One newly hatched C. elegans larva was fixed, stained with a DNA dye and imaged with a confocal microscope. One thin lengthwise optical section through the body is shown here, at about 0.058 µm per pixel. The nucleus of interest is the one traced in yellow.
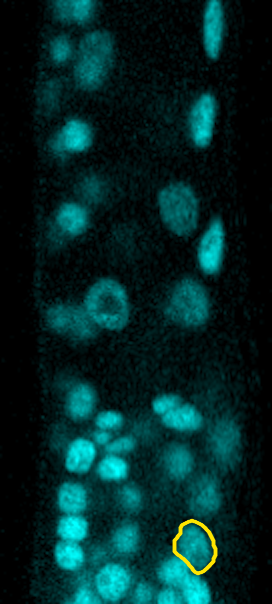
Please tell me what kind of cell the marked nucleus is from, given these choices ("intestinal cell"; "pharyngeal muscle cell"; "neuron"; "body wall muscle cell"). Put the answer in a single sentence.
What is marked is the nucleus of a pharyngeal muscle cell.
